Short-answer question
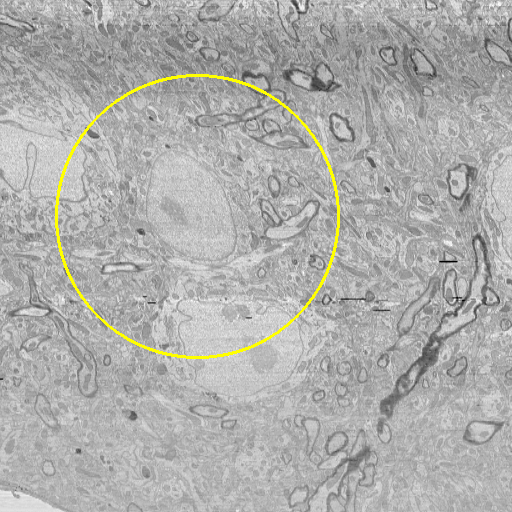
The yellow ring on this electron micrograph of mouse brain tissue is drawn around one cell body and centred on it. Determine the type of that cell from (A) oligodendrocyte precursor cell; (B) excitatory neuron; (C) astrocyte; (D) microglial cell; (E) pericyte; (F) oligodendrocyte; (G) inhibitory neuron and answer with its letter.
C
